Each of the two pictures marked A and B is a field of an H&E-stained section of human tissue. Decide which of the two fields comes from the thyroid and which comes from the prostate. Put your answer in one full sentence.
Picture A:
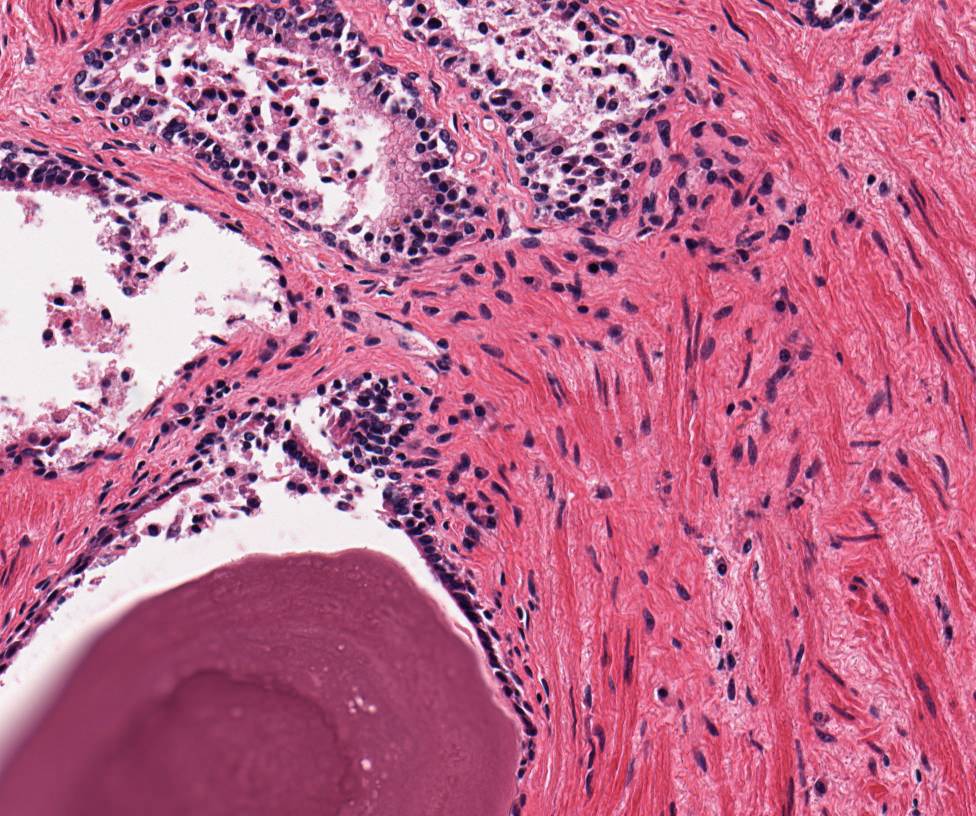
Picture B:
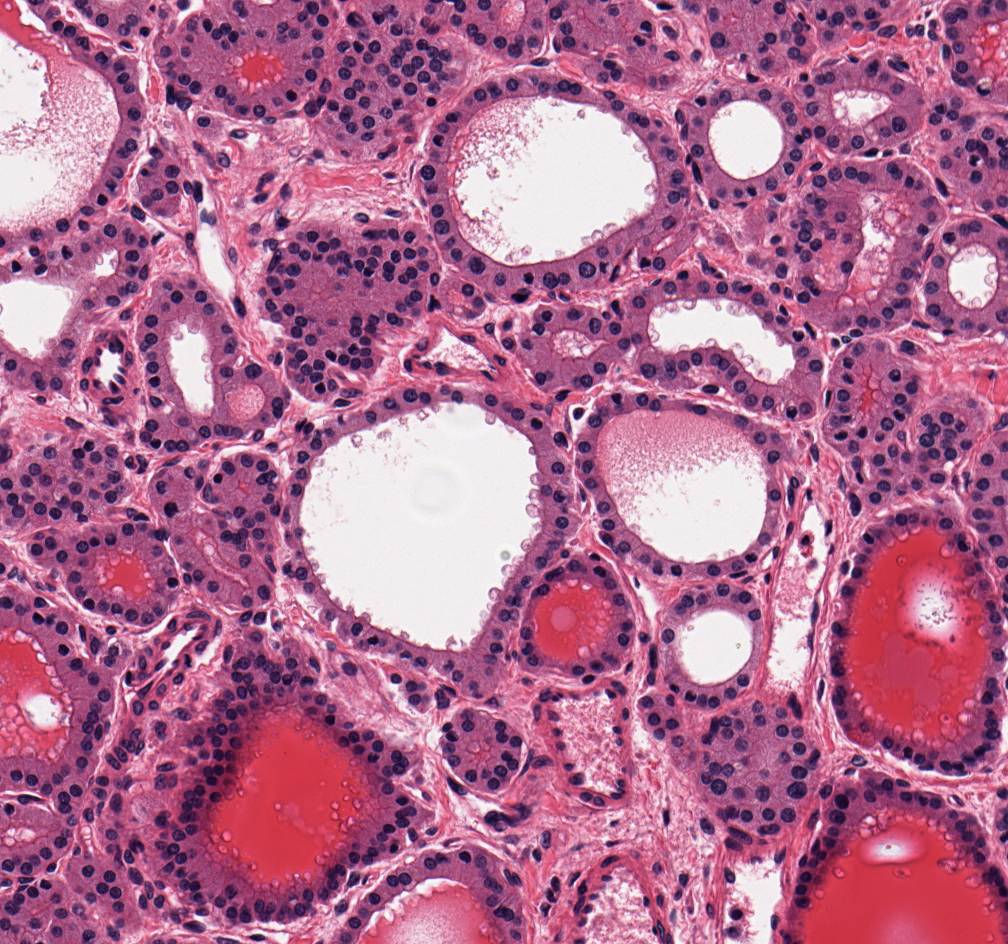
Picture A comes from the prostate; picture B comes from the thyroid.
